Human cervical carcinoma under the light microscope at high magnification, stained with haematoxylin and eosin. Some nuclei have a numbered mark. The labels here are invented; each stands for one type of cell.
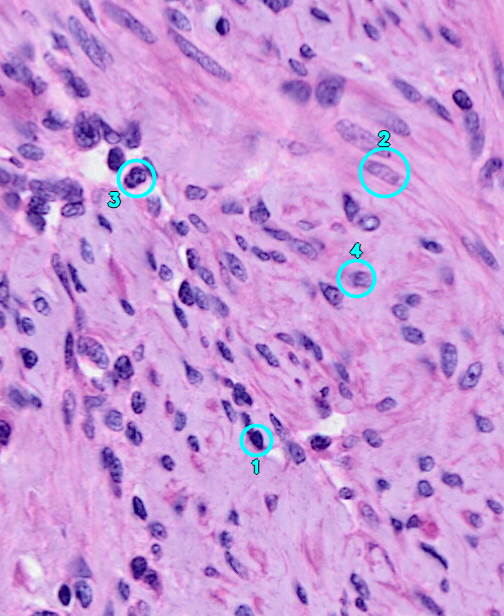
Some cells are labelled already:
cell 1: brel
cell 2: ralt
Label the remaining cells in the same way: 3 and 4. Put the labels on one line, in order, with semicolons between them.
brel; ralt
